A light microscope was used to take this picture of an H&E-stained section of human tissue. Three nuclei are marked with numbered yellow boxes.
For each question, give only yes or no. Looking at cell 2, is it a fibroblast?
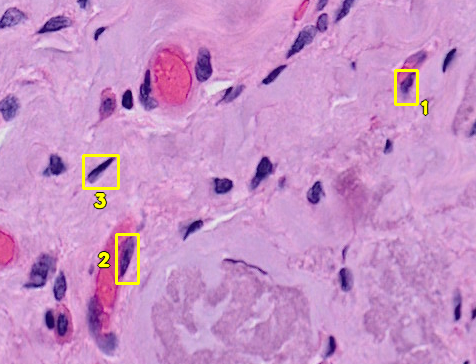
no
